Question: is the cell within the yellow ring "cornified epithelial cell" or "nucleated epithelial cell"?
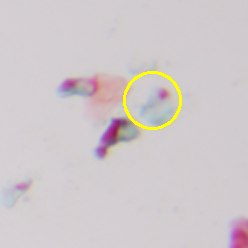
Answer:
nucleated epithelial cell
